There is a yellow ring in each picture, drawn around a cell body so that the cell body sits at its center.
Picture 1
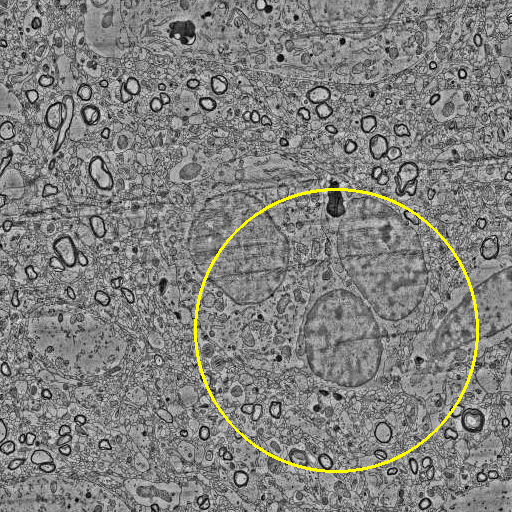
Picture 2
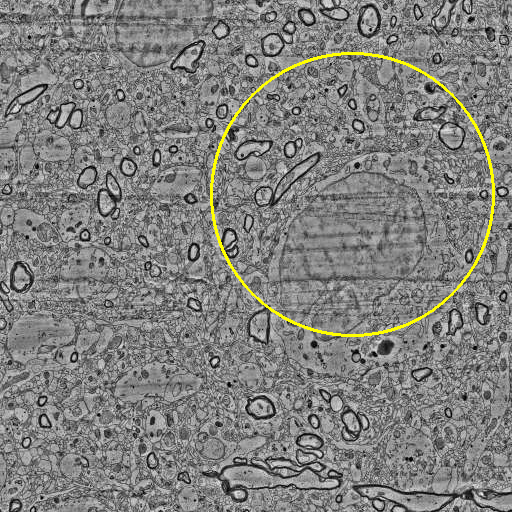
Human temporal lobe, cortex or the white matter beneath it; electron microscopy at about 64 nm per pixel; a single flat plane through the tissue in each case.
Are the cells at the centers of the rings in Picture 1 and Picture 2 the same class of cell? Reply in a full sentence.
No, the two cells are two classes of cell.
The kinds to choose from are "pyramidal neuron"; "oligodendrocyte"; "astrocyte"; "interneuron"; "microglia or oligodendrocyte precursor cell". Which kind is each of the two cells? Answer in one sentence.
Of the two, the first cell is an oligodendrocyte and the second cell is an interneuron.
